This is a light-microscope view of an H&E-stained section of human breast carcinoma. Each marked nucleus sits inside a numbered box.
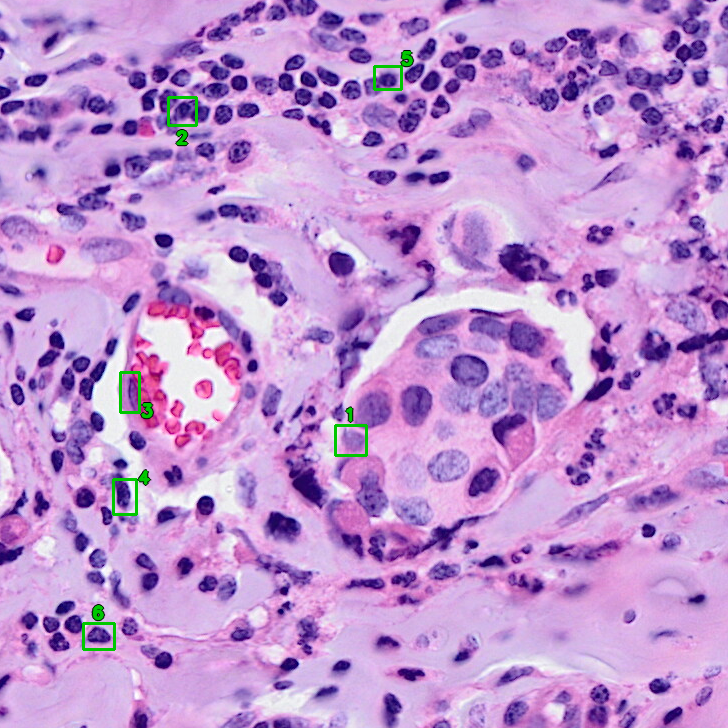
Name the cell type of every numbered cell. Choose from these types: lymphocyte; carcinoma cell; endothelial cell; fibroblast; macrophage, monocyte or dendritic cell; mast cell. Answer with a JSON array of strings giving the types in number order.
["carcinoma cell", "lymphocyte", "endothelial cell", "lymphocyte", "lymphocyte", "lymphocyte"]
